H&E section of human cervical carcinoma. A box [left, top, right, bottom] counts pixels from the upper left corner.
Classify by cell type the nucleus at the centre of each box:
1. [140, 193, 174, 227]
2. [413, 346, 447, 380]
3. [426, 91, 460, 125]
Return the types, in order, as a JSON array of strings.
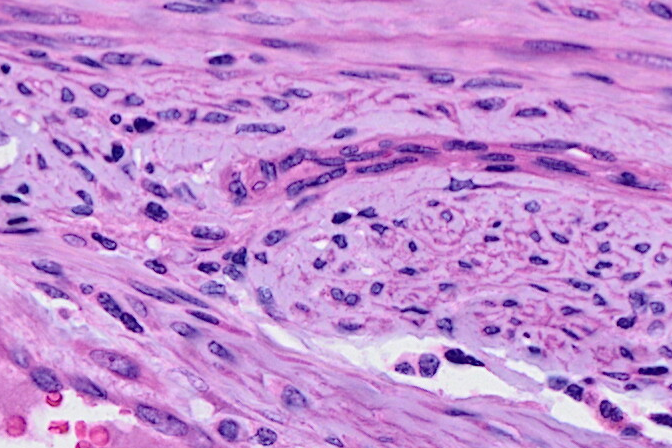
["lymphocyte", "lymphocyte", "smooth muscle cell"]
